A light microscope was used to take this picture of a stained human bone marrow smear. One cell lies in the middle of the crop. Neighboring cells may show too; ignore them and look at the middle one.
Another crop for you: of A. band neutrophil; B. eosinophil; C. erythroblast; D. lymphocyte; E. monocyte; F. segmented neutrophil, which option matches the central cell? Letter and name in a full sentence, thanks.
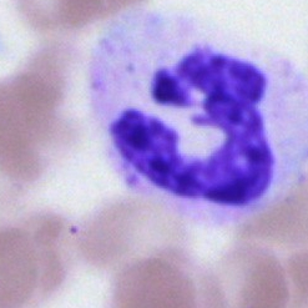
Option F stands as correct, the central cell being a segmented neutrophil.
